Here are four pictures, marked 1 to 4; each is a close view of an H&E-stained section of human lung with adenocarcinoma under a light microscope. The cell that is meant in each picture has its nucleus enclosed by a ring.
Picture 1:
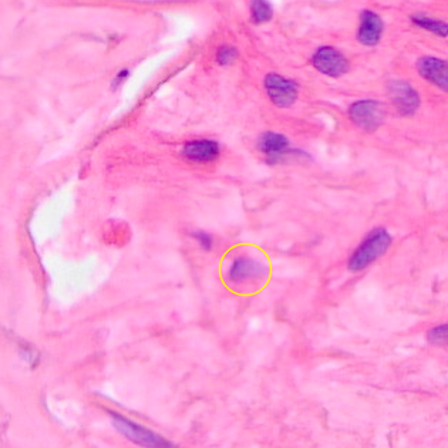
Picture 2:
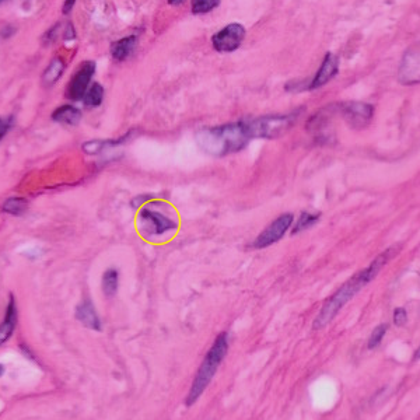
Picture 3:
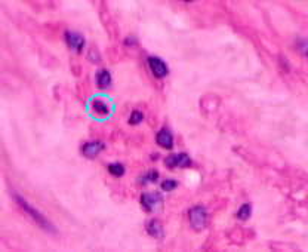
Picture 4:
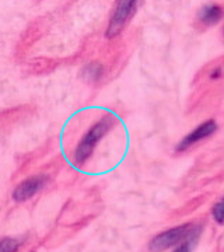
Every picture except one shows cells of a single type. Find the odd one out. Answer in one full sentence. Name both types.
All pictures except 2 show “smooth muscle cells or pericytes”; picture 2 shows a fibroblast.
